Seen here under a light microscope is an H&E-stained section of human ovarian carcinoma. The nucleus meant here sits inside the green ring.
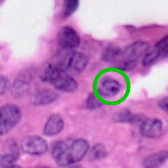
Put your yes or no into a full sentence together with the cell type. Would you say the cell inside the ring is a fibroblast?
No, kindly revise that, as the cell inside the ring is a macrophage or monocyte rather than a fibroblast.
